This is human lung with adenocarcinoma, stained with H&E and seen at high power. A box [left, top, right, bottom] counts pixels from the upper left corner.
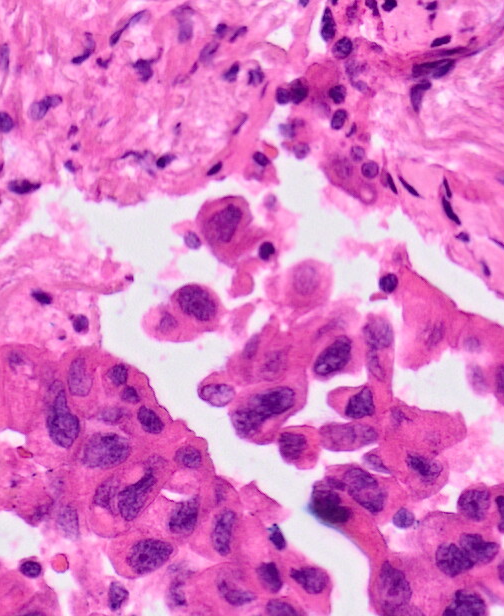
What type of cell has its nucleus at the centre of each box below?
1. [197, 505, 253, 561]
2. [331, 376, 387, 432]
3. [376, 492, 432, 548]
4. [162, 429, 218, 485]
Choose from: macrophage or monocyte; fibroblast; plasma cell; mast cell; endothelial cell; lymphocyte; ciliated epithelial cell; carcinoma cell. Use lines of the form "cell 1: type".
cell 1: carcinoma cell
cell 2: carcinoma cell
cell 3: lymphocyte
cell 4: carcinoma cell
